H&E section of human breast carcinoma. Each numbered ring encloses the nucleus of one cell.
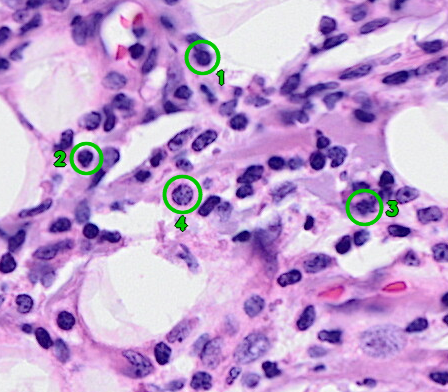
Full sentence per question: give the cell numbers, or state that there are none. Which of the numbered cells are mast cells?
Of all the cells bearing numbers, cell 4 is the only one that is a mast cell.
